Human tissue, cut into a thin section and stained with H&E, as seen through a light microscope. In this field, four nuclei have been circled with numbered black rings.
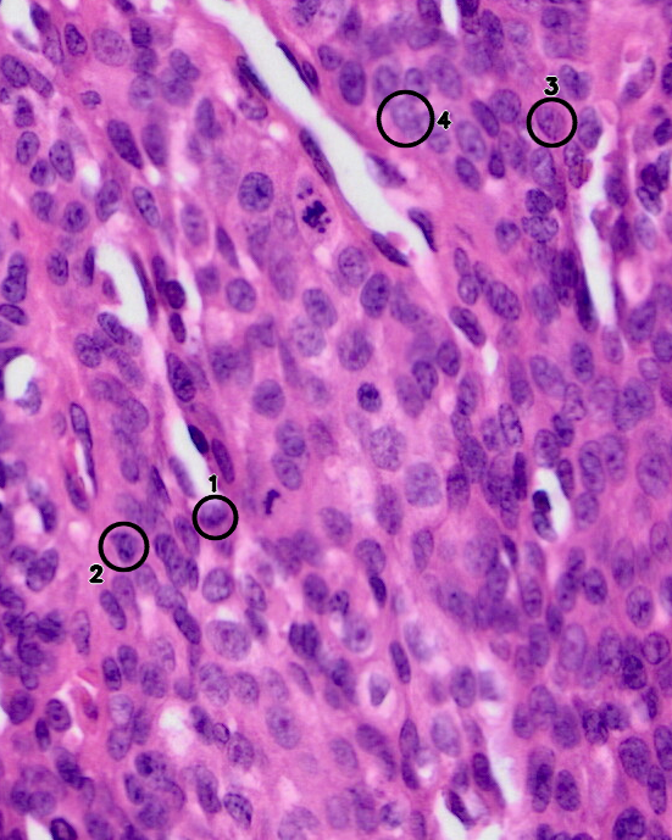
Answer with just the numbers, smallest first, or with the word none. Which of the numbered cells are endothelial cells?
none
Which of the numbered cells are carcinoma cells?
1, 3, 4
